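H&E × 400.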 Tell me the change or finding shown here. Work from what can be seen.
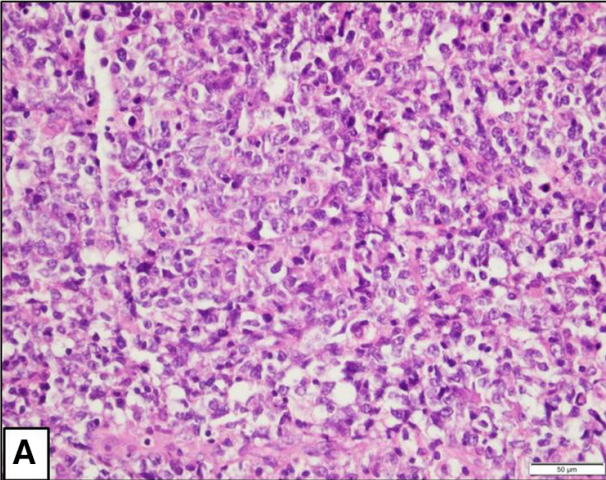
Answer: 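Sheets of cells fill the whole field without any organised architecture. The cells have large, irregular nuclei. Nuclei vary in size and shape. That points to this answer: diffuse proliferation of large atypical cells.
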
